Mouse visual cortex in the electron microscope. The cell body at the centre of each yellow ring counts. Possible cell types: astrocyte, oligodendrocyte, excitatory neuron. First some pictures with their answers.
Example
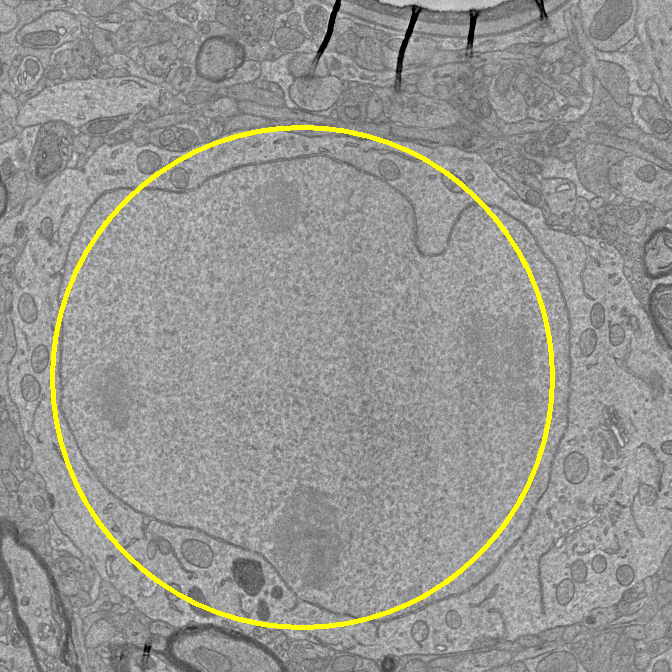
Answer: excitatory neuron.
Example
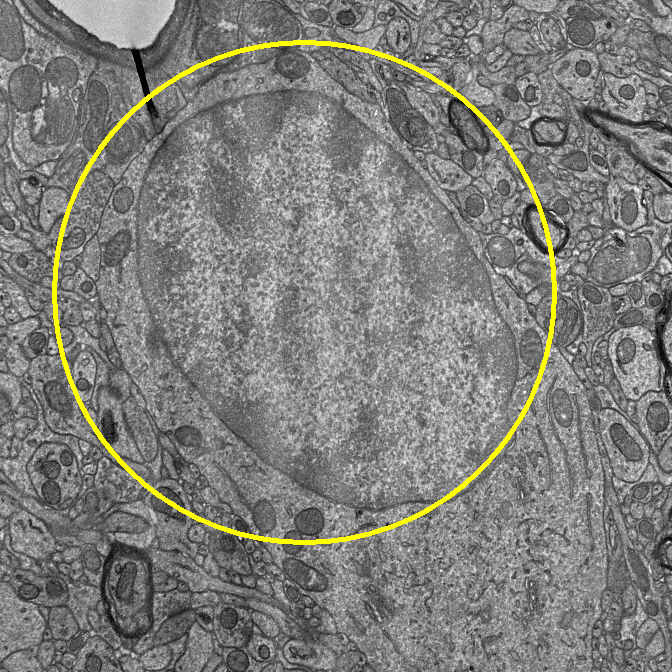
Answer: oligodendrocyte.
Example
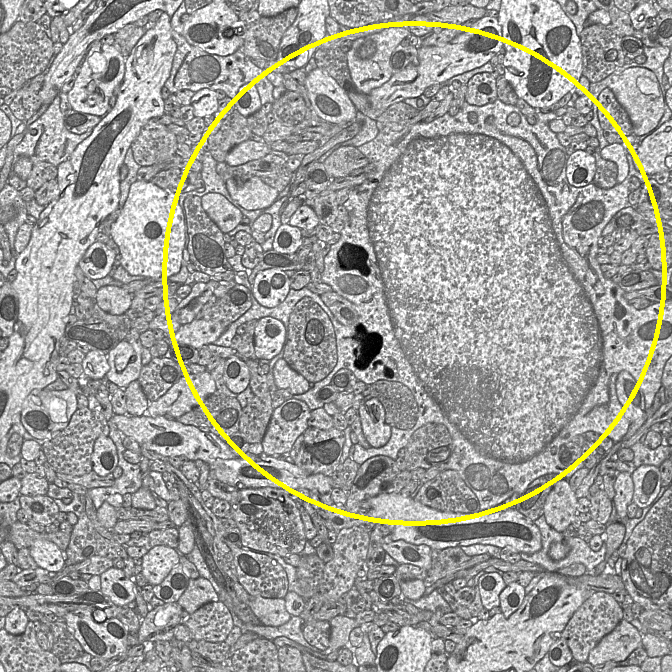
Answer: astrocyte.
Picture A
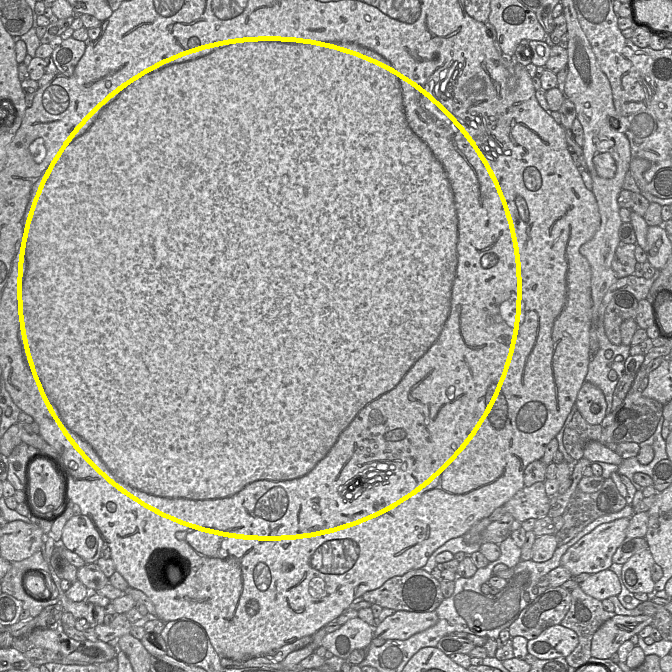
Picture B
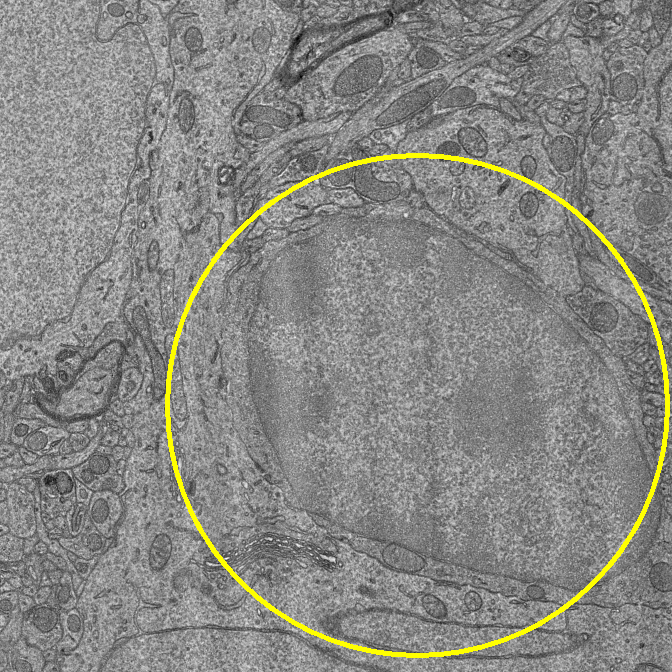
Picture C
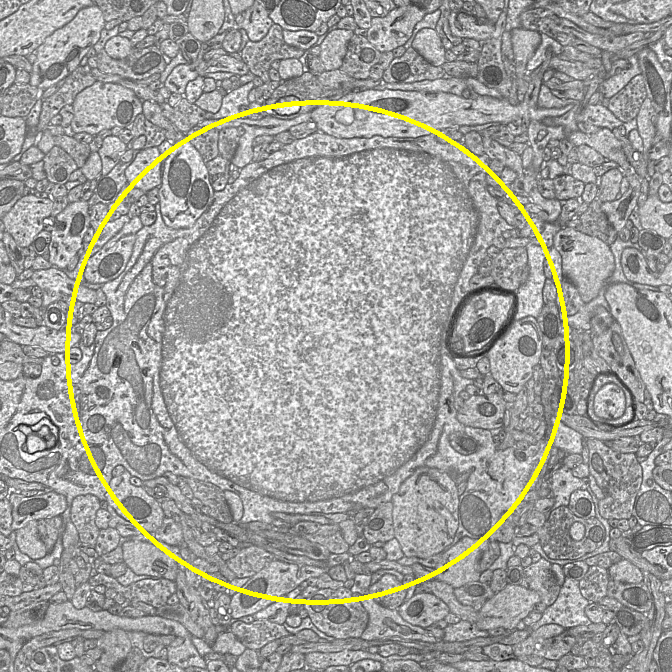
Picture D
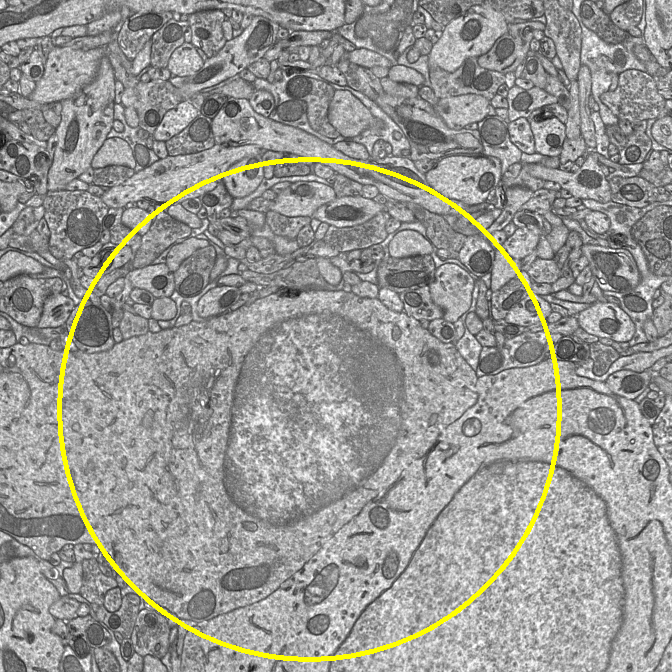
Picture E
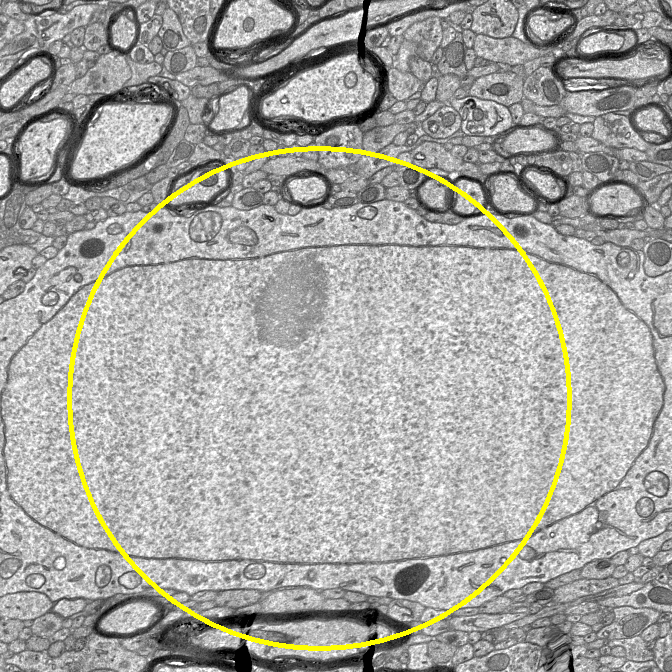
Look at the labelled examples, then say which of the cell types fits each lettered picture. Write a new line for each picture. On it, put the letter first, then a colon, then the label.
A: excitatory neuron.
B: oligodendrocyte.
C: astrocyte.
D: oligodendrocyte.
E: excitatory neuron.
